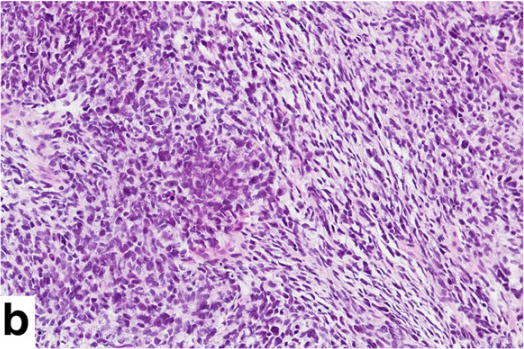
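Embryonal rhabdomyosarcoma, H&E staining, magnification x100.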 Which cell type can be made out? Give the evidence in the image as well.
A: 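Highly cellular tissue of elongated cells arranged in fascicles. Nuclei are slender and dark, oriented in streams. The answer: spindle shaped tumor cells.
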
